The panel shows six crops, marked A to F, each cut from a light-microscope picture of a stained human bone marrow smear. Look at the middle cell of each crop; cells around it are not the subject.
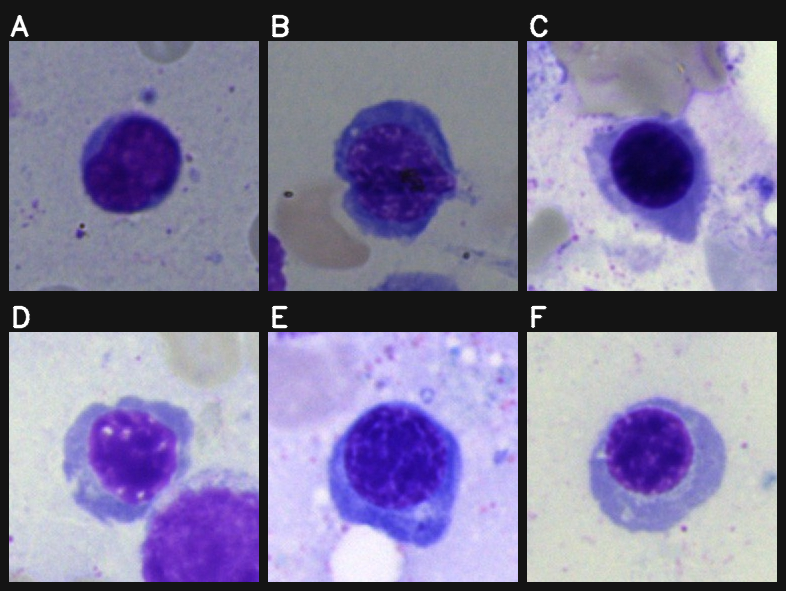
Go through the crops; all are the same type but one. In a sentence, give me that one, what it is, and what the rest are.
Whereas the other crops show erythroblasts, crop A is a lymphocyte.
